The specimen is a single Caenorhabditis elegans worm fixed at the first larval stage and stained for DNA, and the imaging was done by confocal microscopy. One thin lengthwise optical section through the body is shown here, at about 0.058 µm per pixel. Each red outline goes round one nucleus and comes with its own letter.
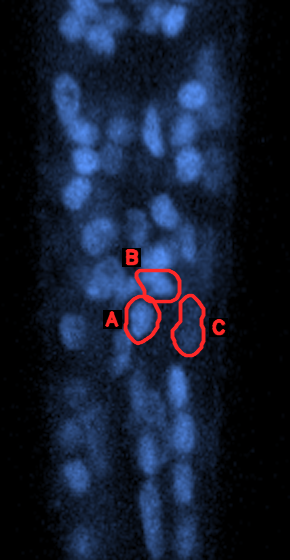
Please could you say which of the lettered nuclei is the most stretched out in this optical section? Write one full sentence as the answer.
C is the most elongated in this section.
